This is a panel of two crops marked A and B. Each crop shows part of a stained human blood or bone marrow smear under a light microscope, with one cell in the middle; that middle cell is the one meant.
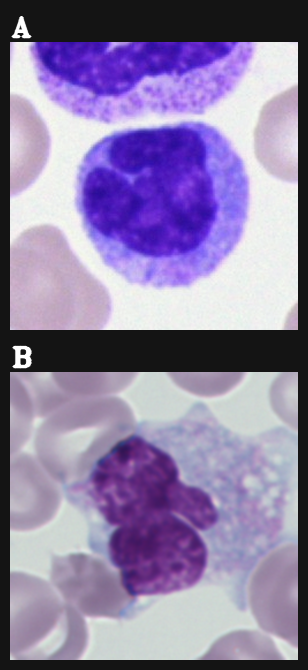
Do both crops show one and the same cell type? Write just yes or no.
yes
